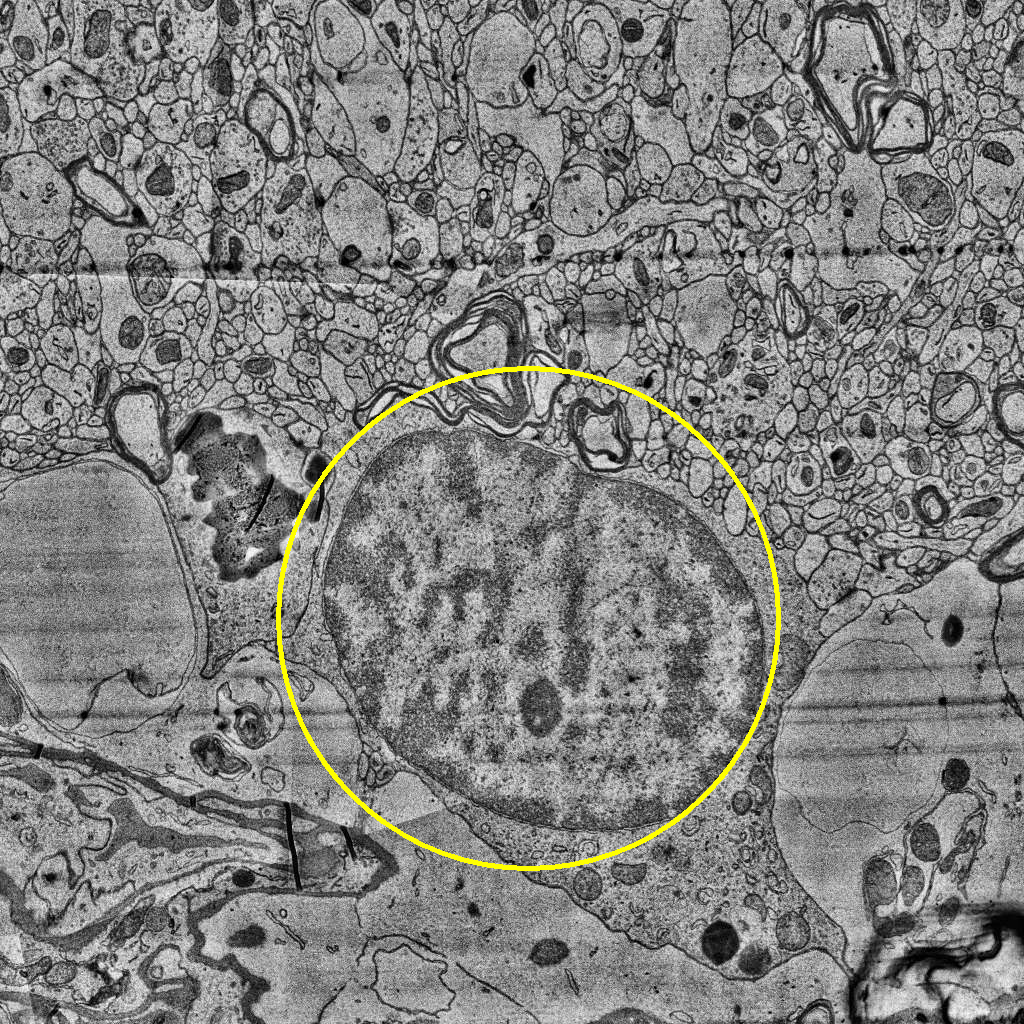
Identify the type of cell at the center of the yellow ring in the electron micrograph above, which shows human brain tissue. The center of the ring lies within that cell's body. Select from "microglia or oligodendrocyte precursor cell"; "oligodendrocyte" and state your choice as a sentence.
The center of the yellow ring lies in the body of an oligodendrocyte.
